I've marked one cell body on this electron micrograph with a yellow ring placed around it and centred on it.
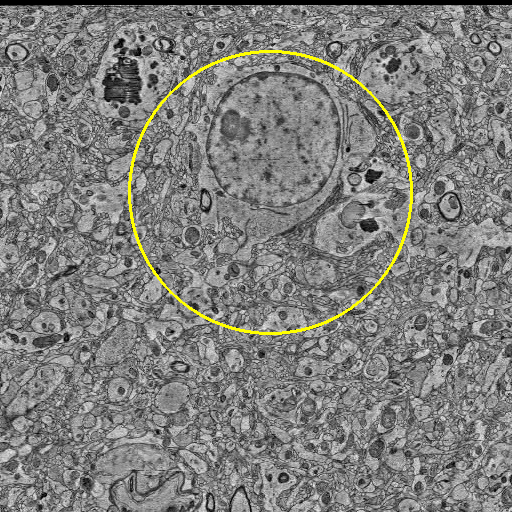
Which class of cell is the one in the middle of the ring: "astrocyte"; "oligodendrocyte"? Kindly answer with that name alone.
astrocyte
